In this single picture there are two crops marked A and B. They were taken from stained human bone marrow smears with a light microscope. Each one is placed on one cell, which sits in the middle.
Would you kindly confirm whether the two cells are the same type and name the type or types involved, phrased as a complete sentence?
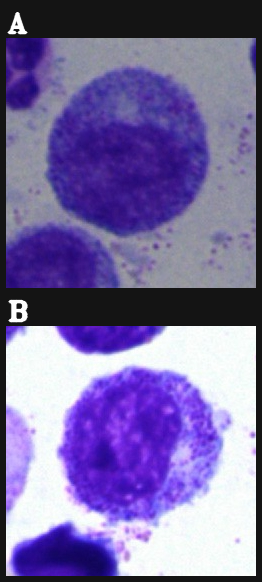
No, that is not right; crop A shows a promyelocyte and crop B shows a myelocyte.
